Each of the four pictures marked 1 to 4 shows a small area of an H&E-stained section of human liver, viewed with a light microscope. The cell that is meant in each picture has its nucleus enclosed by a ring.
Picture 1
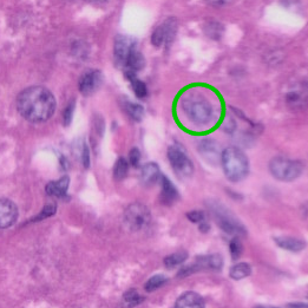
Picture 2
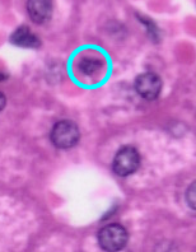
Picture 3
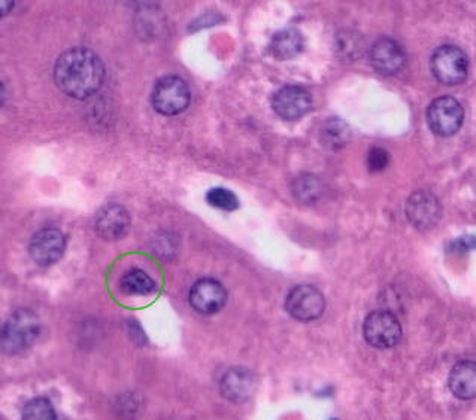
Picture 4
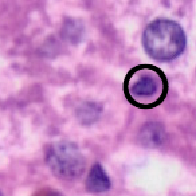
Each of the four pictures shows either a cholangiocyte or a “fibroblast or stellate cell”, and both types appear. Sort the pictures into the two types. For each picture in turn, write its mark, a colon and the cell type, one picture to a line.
1: cholangiocyte
2: fibroblast or stellate cell
3: fibroblast or stellate cell
4: fibroblast or stellate cell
